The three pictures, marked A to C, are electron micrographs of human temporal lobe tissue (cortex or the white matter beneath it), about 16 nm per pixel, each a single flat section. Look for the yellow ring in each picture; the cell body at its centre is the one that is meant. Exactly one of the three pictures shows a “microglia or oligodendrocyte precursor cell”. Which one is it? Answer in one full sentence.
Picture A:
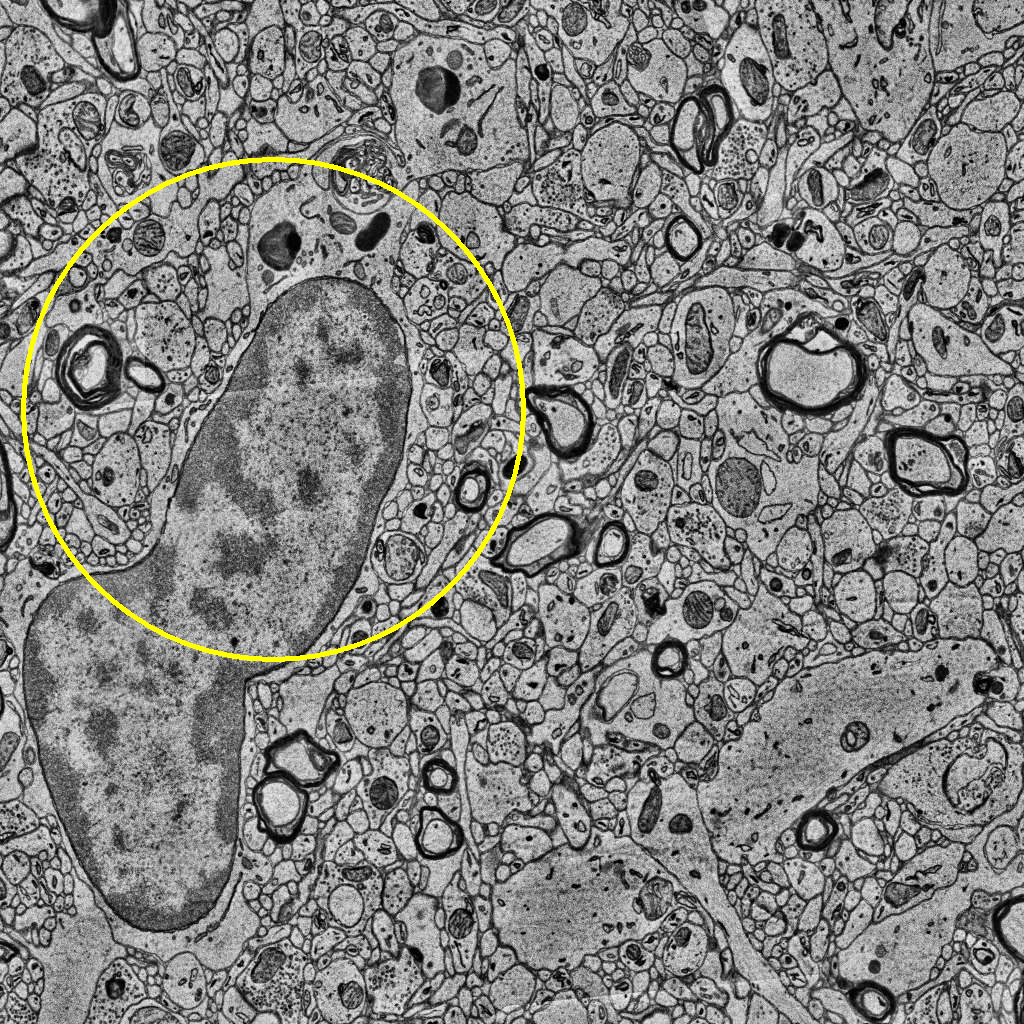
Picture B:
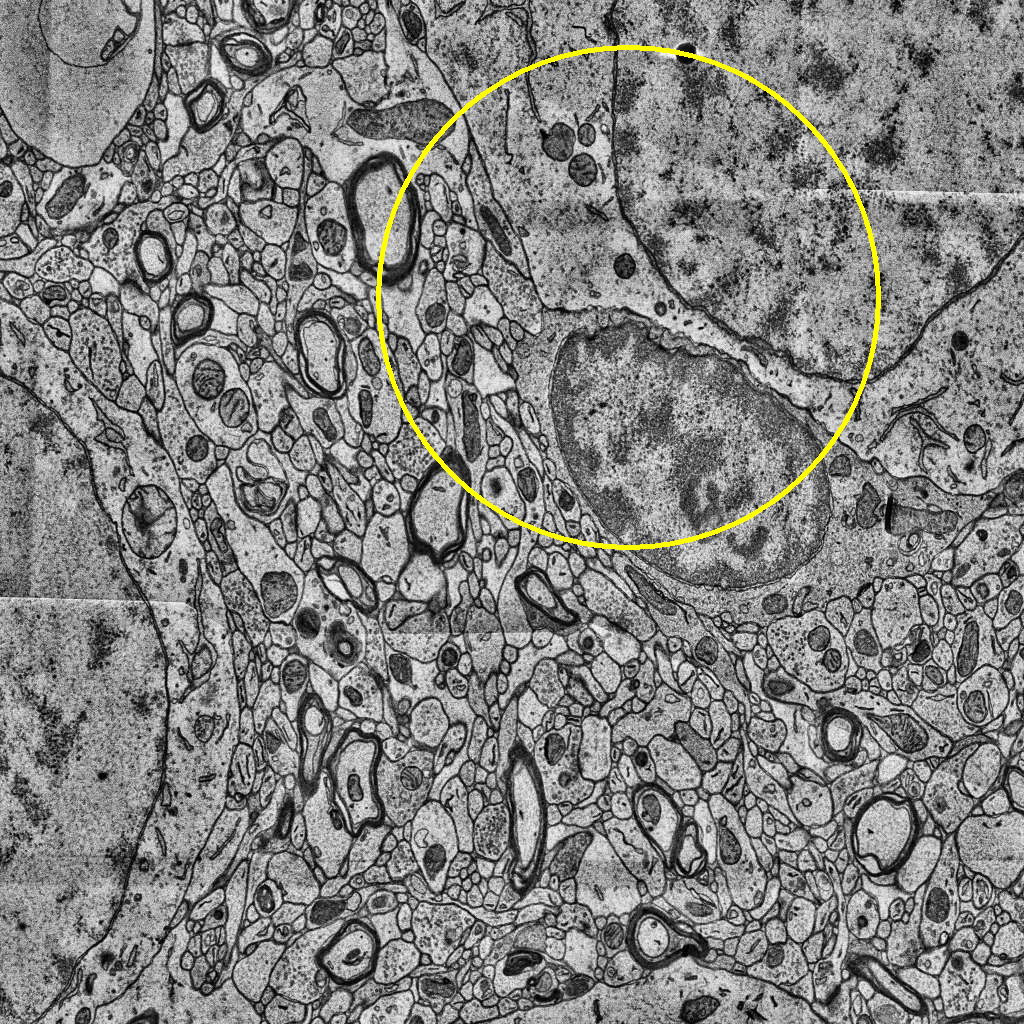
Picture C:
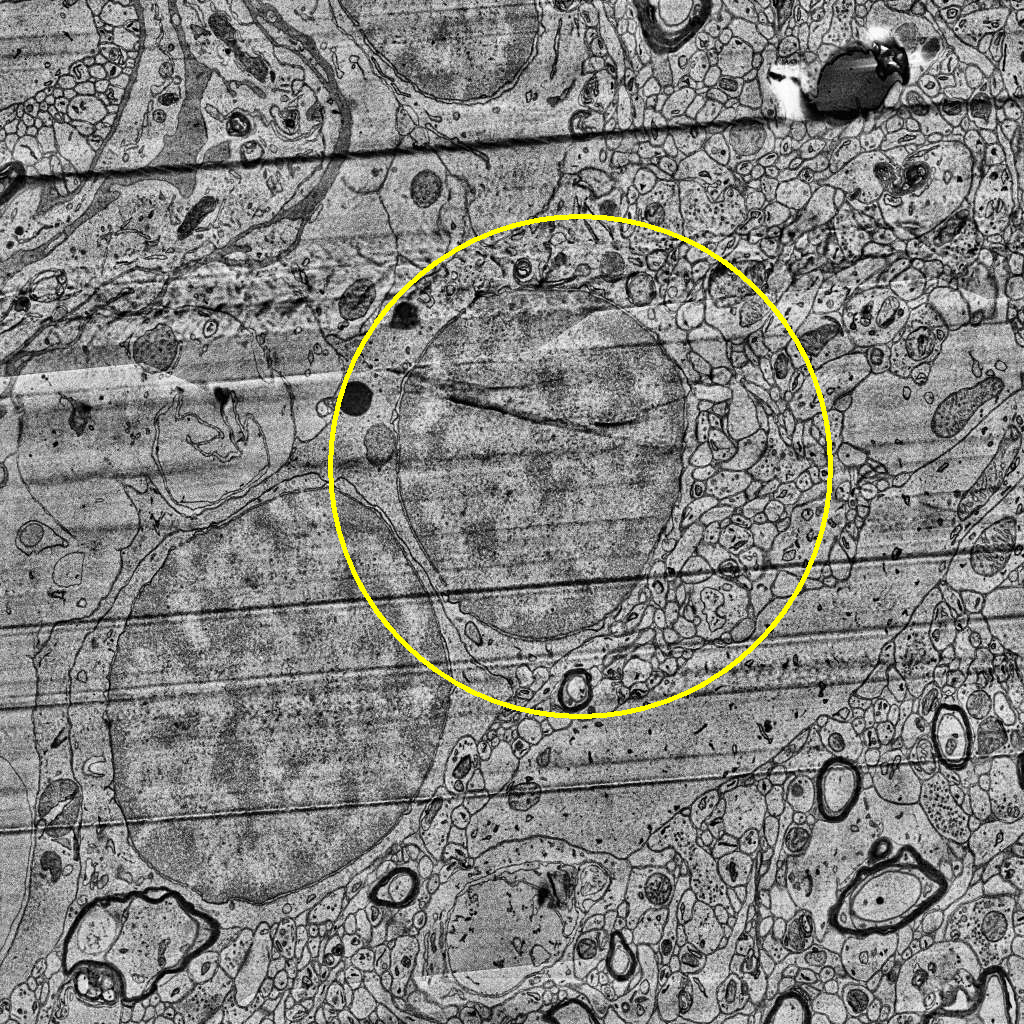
The picture with the “microglia or oligodendrocyte precursor cell” is A.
